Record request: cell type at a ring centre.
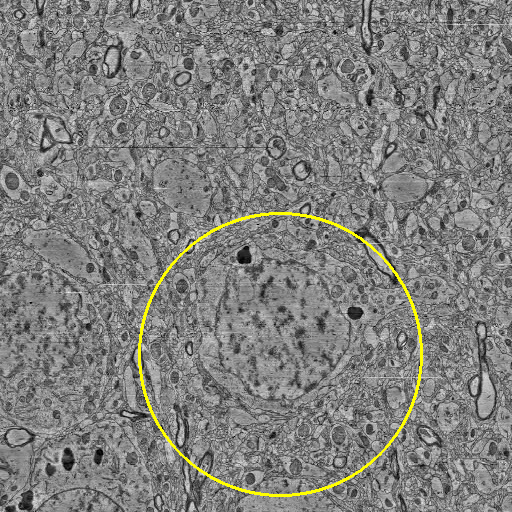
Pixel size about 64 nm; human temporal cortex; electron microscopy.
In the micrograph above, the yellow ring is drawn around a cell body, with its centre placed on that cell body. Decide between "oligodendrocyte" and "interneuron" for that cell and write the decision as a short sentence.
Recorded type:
The cell centred in the yellow ring is an interneuron.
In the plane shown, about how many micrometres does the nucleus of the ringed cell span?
In this plane the nucleus is about 9 micrometres across.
